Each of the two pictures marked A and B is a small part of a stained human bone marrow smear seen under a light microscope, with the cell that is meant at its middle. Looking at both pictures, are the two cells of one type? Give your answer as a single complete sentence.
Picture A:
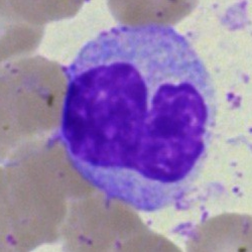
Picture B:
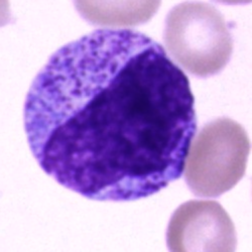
No, the types are not the same, since picture A shows a monocyte and picture B a promyelocyte.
